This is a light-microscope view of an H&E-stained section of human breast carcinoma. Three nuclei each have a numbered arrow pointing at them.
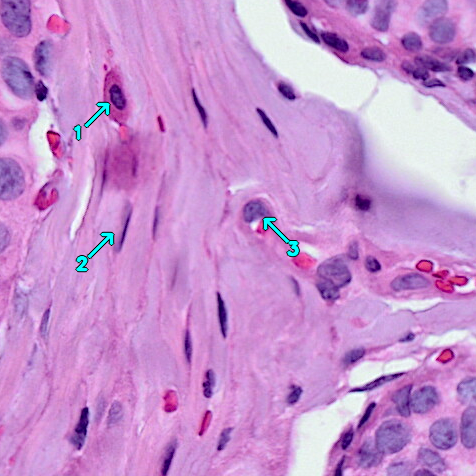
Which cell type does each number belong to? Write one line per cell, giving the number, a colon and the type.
1: mast cell
2: fibroblast
3: endothelial cell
